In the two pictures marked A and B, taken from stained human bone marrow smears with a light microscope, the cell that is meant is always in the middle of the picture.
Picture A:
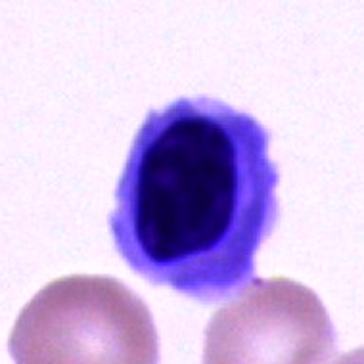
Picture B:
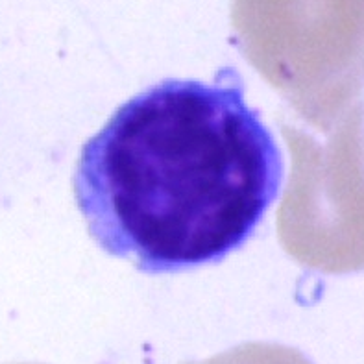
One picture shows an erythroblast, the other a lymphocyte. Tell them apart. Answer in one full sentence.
Picture B shows a lymphocyte, while picture A shows an erythroblast.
